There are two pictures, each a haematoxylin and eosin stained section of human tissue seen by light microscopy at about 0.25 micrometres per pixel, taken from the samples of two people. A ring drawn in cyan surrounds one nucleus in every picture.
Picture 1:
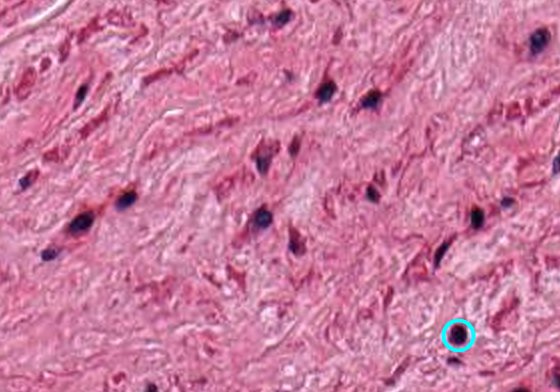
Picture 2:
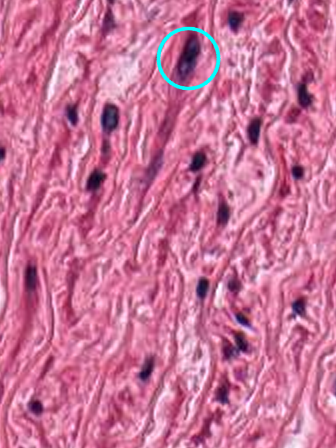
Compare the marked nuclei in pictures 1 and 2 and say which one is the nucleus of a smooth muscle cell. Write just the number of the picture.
2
